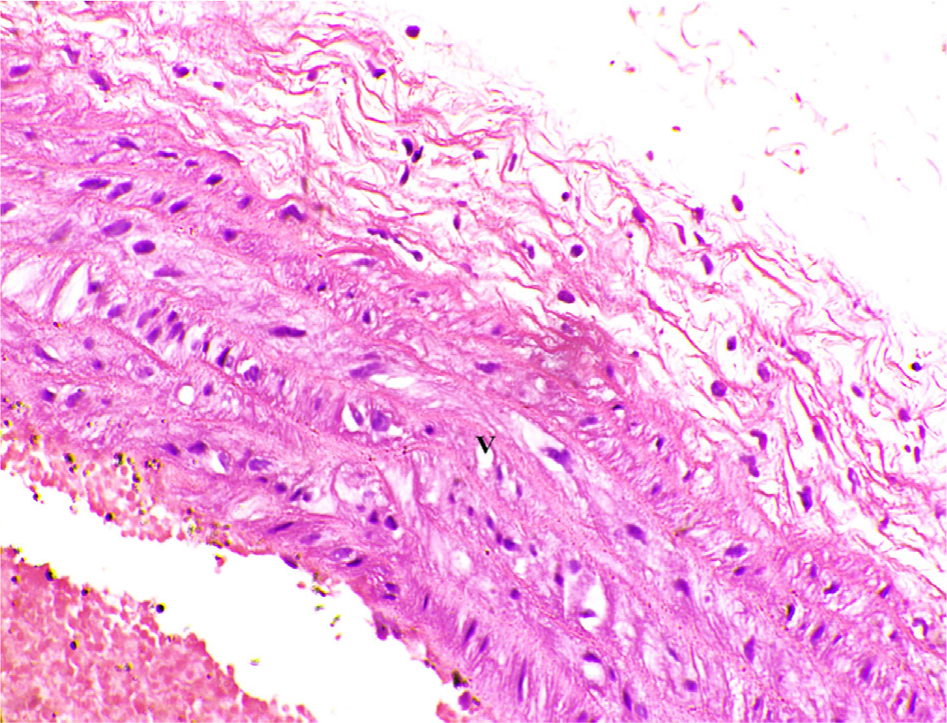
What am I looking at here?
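This section of an arterial wall runs diagonally across the field. Its lumen lies at the lower left and is filled with packed pink-red blood cells. The middle of the wall is made of layered pink fibres and spindle-shaped cells with elongated purple nuclei, and clear, unstained spaces of varying size lie among them, forming vacuoles. Toward the upper right, the wall passes into a looser outer layer of wavy pink fibres with sparse, scattered nuclei.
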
